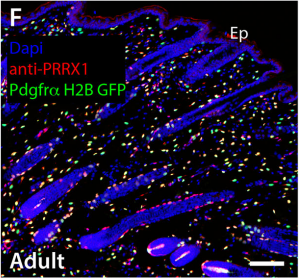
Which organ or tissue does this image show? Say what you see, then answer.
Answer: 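Skin. A thin surface epithelium runs along the top edge. Elongated hair follicles run obliquely down through the tissue. Scattered single nuclei fill the connective tissue between the follicles.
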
